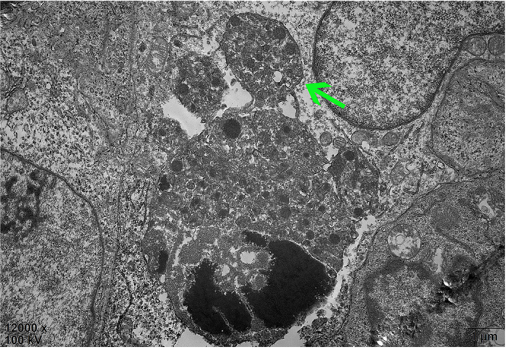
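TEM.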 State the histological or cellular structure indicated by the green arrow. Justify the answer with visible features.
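The apoptotic body. The arrow points to a rounded membrane-bound body. The body contains dense fragmented material.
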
